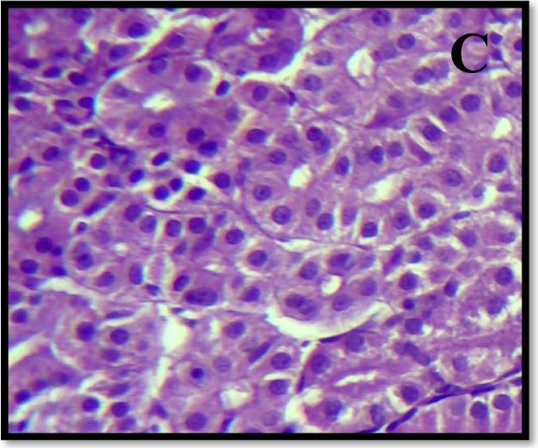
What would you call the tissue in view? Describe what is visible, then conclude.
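Kidney. Closely packed tubular profiles lined by cuboidal epithelial cells. Each cell has a round, dark purple nucleus and pink cytoplasm. Small lumens at the centre of the tubular profiles.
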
